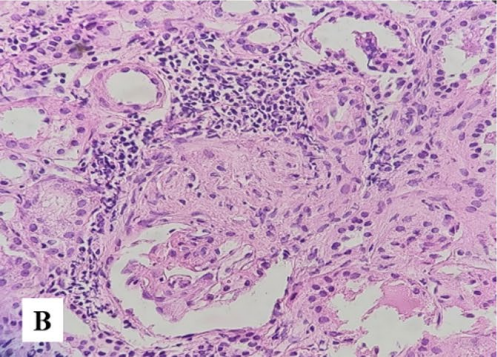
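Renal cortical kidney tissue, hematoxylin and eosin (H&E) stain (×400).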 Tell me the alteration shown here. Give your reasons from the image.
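Dense clusters of small round dark nuclei lie around a glomerular structure. The inflammatory cells infiltrate the interstitium between tubules.
Conclusion: peri-glomerular inflammation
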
